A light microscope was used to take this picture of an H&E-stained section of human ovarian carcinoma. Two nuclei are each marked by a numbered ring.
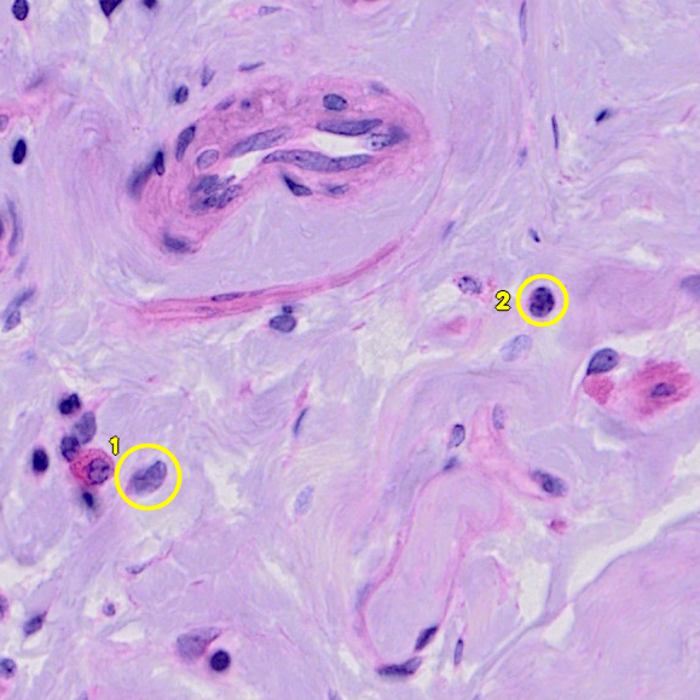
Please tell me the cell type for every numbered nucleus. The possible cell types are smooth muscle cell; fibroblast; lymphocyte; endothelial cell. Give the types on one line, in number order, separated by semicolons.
fibroblast; lymphocyte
